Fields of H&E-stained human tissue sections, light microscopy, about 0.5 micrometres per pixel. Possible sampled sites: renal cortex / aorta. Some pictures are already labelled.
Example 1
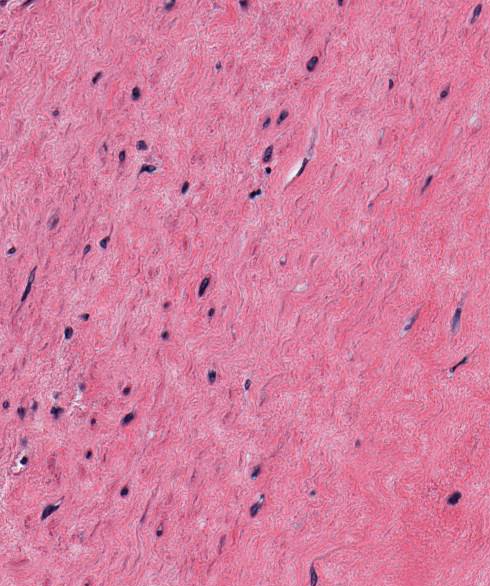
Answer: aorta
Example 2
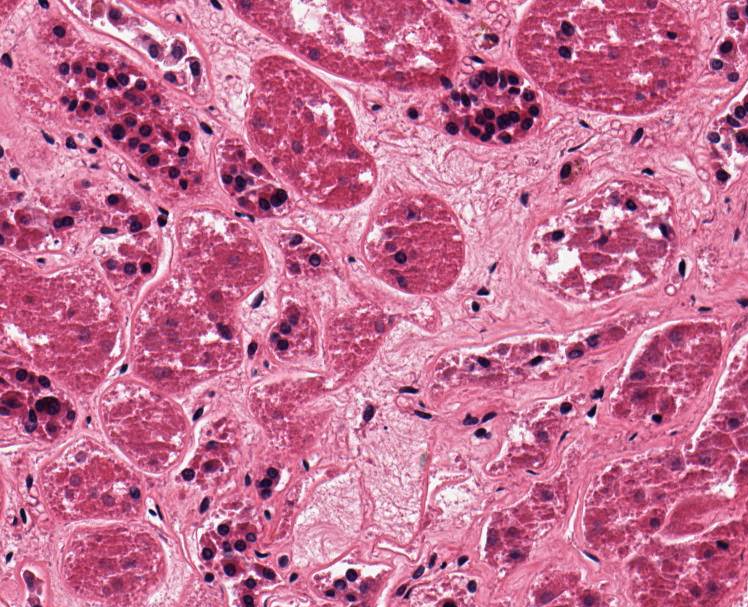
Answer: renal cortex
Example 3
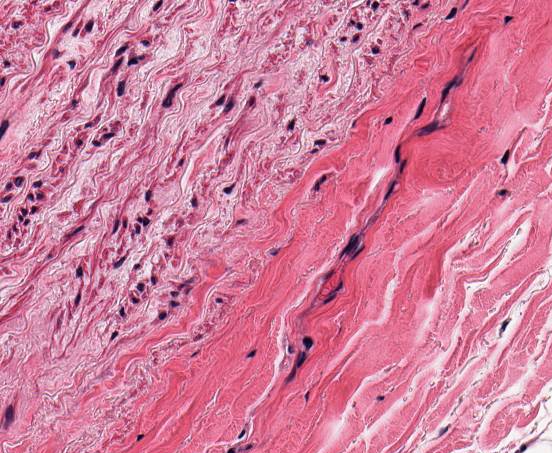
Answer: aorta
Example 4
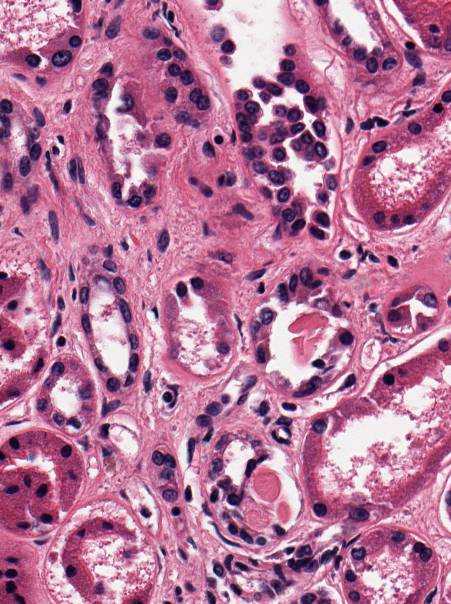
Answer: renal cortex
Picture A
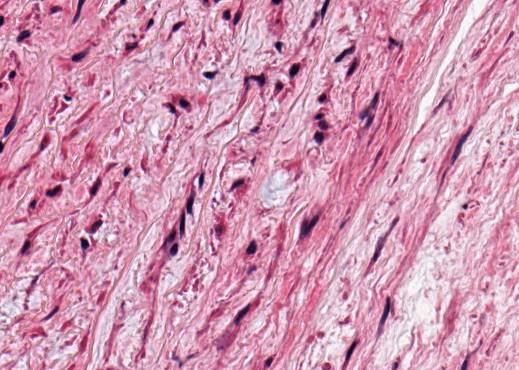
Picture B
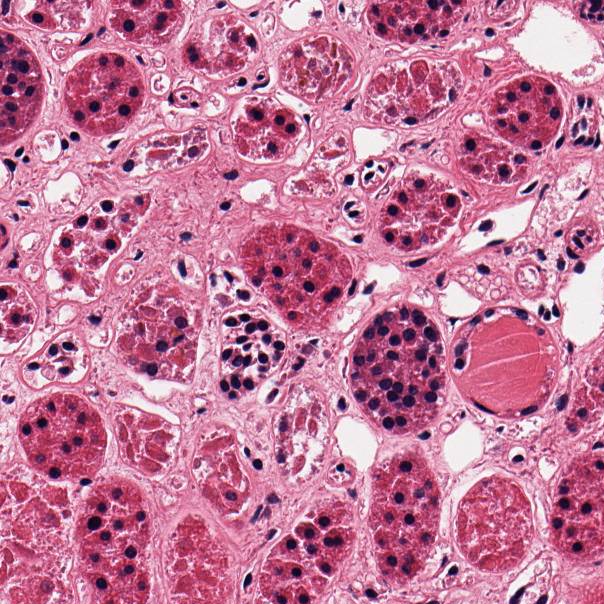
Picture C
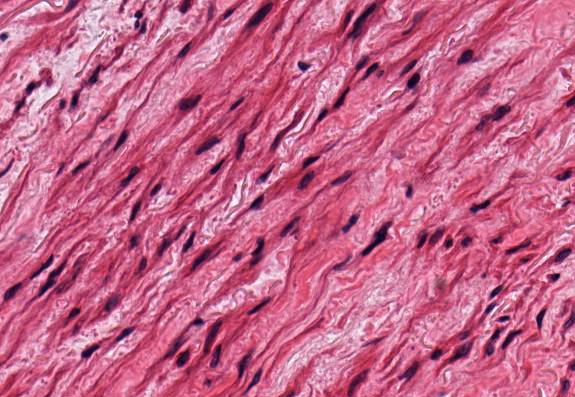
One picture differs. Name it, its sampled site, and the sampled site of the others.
Odd one out: B (renal cortex). The rest: aorta.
